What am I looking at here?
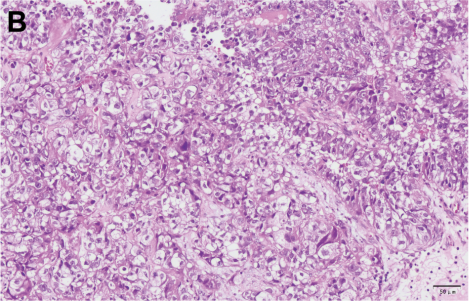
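This section shows a carcinoma made of clear cells, packed in crowded sheets and nests. Most tumor cells have abundant pale or empty-looking cytoplasm with sharp cell borders, so the field looks bubbly. Their nuclei are dark purple, rounded to irregular and vary in size, some with evident nucleoli, and many sit off-centre within the clear cytoplasm. Other cells have more pink cytoplasm. Between the cell groups run pink strands of fibrous stroma, which divide the tumor into irregular compartments. The growth is largely solid here, with little normal tissue left.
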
